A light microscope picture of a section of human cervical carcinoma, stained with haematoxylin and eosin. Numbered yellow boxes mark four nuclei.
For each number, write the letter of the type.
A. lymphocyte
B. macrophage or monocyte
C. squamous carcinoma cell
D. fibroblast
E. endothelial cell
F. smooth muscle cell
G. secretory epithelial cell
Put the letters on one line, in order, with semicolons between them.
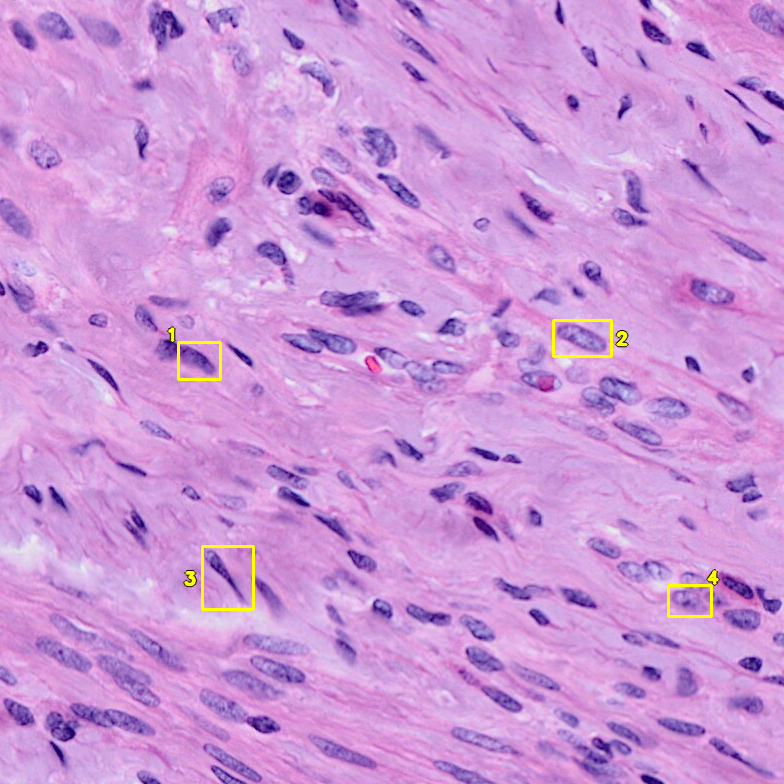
D; F; D; E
